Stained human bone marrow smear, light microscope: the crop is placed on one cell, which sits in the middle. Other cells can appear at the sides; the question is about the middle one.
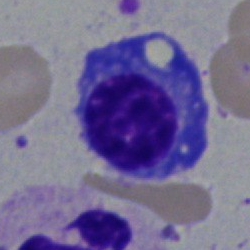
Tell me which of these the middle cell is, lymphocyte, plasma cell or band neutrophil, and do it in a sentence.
In the crop, the cell of interest at the centre is a plasma cell.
